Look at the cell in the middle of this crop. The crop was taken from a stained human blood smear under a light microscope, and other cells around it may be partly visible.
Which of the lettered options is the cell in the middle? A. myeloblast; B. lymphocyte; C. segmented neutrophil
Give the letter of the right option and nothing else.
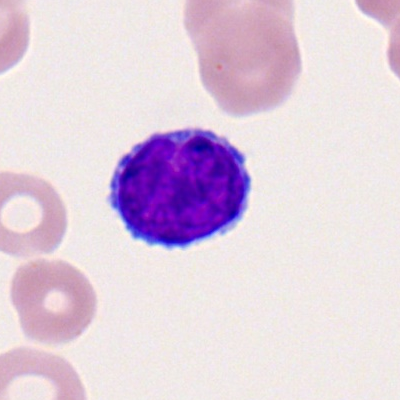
B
